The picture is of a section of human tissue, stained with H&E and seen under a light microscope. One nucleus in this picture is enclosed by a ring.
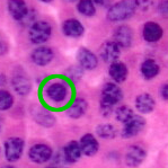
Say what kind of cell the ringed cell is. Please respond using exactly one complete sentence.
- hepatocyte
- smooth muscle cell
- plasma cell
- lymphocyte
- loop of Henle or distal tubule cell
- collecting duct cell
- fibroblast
Assigned to a cell type, the ringed cell is a plasma cell.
